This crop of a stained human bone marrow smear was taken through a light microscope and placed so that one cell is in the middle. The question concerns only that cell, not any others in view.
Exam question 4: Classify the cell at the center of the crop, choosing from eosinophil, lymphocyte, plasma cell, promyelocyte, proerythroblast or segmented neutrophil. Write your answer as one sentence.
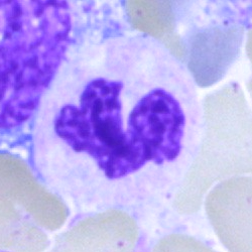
Here the centrally located cell is a segmented neutrophil.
